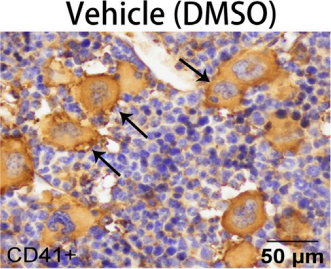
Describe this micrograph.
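A dense sheet of small round cells with blue-stained nuclei fills the field, as in hematopoietic bone marrow. Scattered among them are several giant cells whose broad cytoplasm is stained brown and whose nuclei are large, pale and lobed.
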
